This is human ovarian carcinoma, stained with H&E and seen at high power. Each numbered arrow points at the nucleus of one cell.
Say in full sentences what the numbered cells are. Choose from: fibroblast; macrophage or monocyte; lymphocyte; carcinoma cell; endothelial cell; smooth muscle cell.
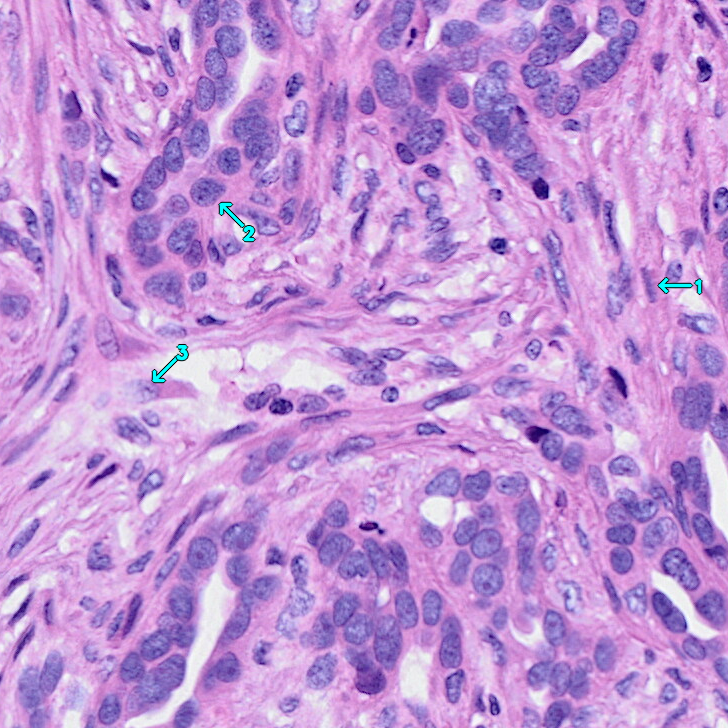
Cells 1 and 3 are fibroblasts. Cell 2 is a carcinoma cell.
